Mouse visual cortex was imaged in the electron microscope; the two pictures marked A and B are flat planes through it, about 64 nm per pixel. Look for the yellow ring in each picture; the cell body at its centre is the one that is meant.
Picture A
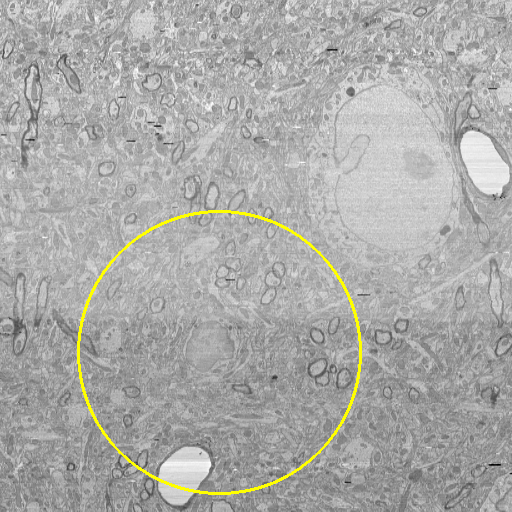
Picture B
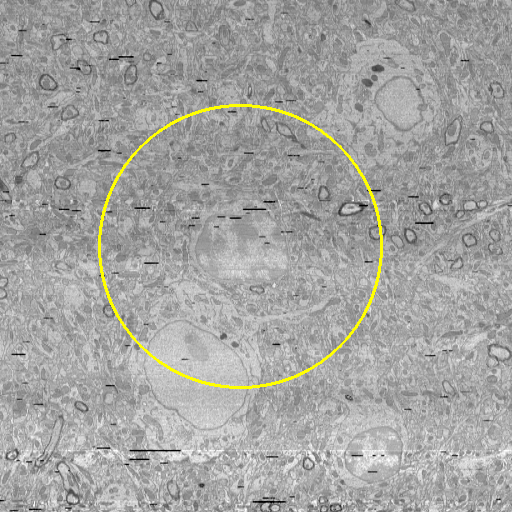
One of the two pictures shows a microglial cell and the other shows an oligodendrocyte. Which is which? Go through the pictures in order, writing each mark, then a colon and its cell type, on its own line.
A: microglial cell
B: oligodendrocyte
